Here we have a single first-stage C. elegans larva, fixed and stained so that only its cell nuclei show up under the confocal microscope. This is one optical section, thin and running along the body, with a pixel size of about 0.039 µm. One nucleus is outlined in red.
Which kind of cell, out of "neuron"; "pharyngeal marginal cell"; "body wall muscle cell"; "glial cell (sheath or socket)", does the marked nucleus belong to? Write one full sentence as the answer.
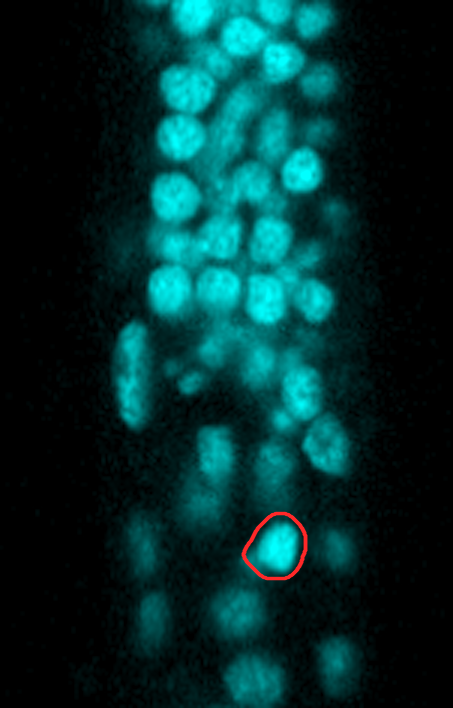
The marked cell is a glial cell (sheath or socket).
